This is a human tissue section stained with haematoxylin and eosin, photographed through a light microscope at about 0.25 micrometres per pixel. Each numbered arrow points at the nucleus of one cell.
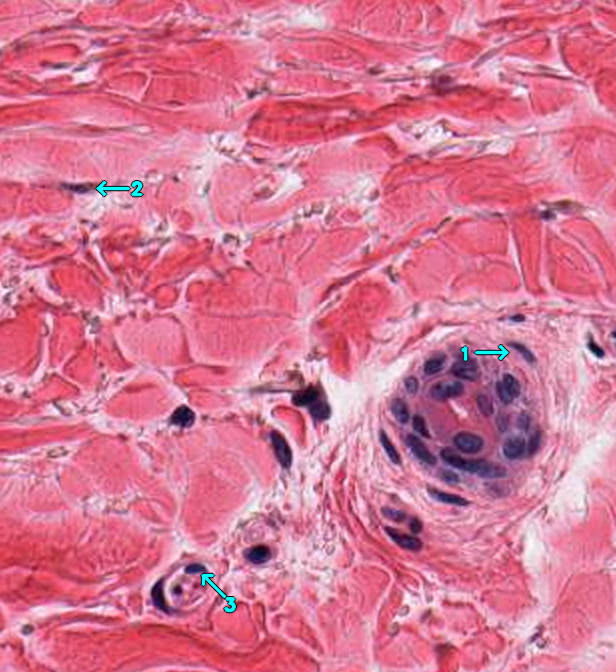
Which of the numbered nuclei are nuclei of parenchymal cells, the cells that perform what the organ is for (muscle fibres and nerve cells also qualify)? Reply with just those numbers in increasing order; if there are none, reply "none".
none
